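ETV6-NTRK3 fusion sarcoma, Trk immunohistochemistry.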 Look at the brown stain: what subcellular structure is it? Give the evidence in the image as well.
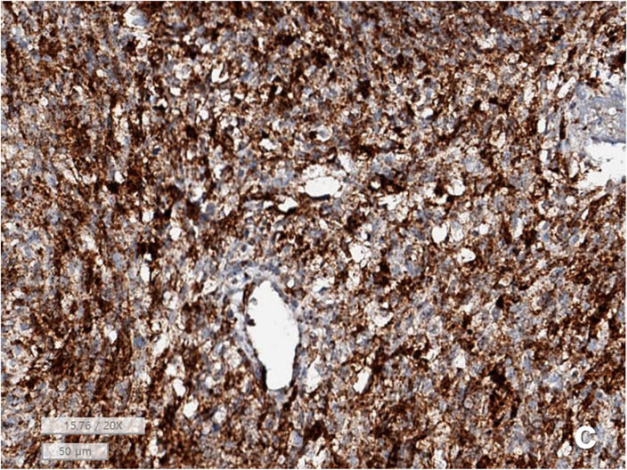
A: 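Mainly cytoplasmic stain. Brown granular stain fills the spaces around the nuclei. Many nuclei stay pale blue within the brown.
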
